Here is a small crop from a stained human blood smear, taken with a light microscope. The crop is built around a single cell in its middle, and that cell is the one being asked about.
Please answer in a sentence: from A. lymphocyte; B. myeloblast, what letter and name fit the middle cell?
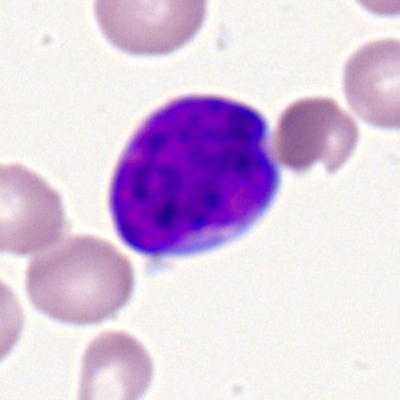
As the central cell is a myeloblast, option B is correct.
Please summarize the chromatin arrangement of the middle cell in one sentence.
Just so you know, its chromatin is coarsely clumped.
